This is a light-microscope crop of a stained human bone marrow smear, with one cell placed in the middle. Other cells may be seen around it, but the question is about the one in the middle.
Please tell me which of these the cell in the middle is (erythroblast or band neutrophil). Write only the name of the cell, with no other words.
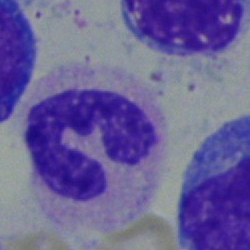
band neutrophil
